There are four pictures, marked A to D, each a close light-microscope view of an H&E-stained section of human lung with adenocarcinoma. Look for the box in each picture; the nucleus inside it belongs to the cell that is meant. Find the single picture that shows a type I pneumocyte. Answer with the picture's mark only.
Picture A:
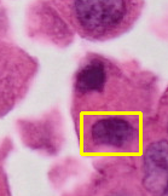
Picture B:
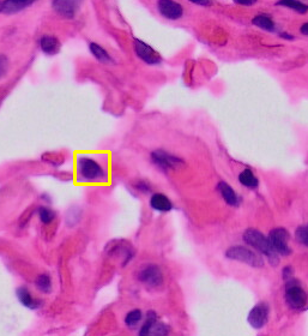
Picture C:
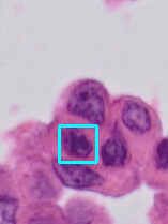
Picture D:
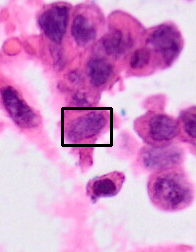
B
